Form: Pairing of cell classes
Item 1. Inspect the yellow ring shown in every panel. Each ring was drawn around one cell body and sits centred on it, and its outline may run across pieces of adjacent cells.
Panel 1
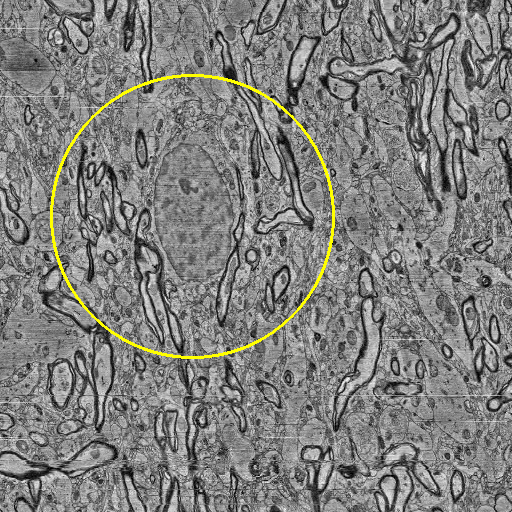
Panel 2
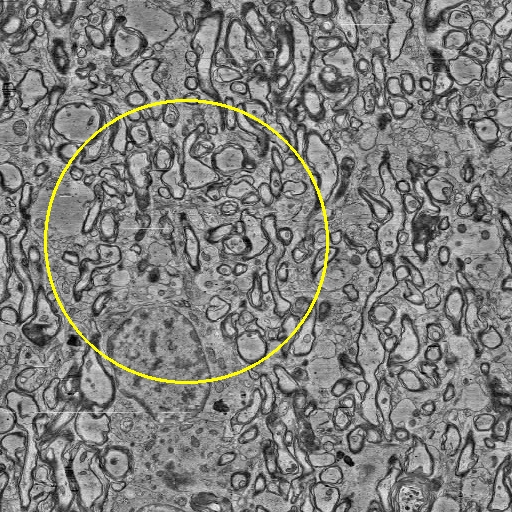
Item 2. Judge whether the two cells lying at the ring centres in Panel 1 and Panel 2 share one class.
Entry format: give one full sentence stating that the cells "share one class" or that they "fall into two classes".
The cells at the ring centres in Panel 1 and Panel 2 share one class.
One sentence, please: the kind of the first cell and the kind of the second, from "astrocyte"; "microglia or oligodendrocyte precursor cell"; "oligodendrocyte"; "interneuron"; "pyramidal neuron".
The cell in the first picture is an oligodendrocyte, and so is the one in the second.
